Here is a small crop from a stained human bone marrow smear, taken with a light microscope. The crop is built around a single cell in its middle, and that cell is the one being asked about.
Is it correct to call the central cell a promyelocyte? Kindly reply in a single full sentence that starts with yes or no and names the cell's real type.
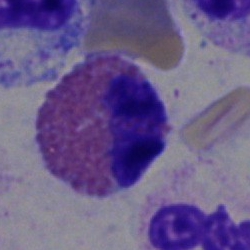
No, the centered cell is an eosinophil and not a promyelocyte at all.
